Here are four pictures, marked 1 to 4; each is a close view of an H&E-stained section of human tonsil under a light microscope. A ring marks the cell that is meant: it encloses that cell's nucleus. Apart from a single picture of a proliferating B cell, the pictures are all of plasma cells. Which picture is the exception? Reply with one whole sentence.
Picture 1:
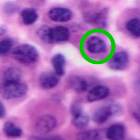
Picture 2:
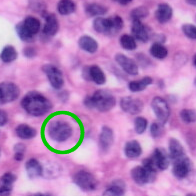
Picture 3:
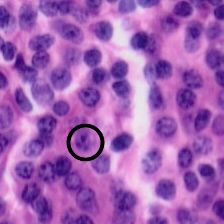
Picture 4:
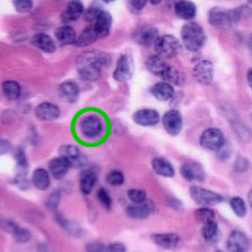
Picture 2 shows the proliferating B cell.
